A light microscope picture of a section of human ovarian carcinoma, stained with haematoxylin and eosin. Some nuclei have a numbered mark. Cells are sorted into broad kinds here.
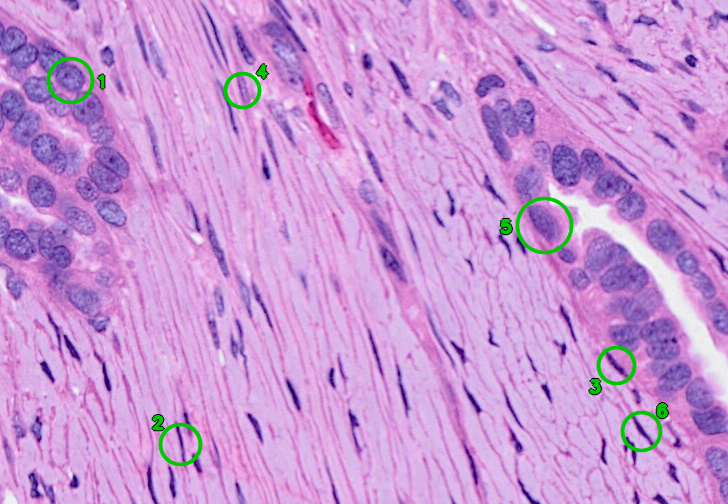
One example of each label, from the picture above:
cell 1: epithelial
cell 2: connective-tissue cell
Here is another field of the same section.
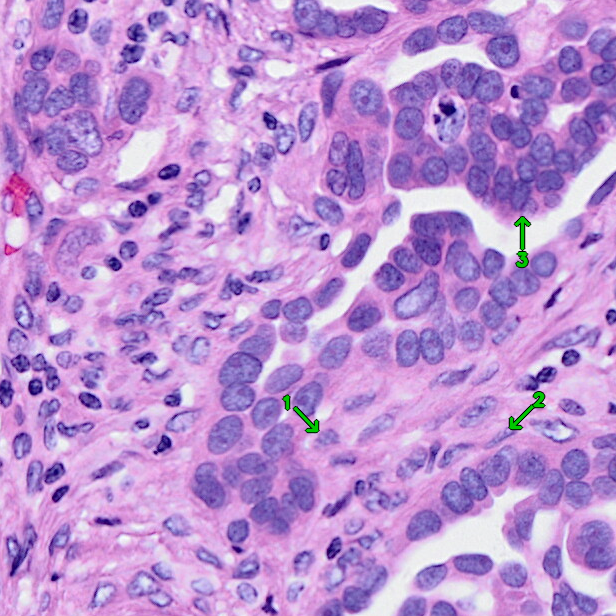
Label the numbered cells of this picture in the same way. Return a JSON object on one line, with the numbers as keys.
{"1": "connective-tissue cell", "2": "connective-tissue cell", "3": "epithelial"}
